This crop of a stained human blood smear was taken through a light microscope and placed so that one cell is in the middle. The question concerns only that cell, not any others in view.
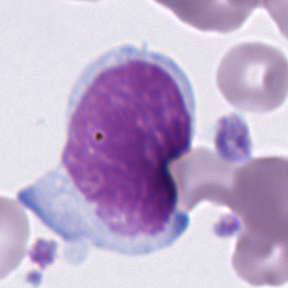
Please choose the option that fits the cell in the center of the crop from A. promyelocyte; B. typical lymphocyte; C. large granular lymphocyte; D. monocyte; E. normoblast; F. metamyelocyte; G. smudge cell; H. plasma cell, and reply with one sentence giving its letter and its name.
The correct option here is B; the middle cell is a typical lymphocyte.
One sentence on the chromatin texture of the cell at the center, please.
The nuclear chromatin is fine, showing no coarse aggregates.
